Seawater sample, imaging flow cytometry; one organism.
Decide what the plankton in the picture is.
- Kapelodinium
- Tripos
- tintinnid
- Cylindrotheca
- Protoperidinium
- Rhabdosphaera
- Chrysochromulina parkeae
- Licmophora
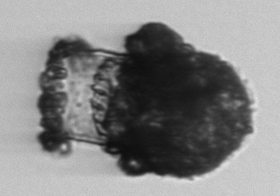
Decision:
tintinnid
